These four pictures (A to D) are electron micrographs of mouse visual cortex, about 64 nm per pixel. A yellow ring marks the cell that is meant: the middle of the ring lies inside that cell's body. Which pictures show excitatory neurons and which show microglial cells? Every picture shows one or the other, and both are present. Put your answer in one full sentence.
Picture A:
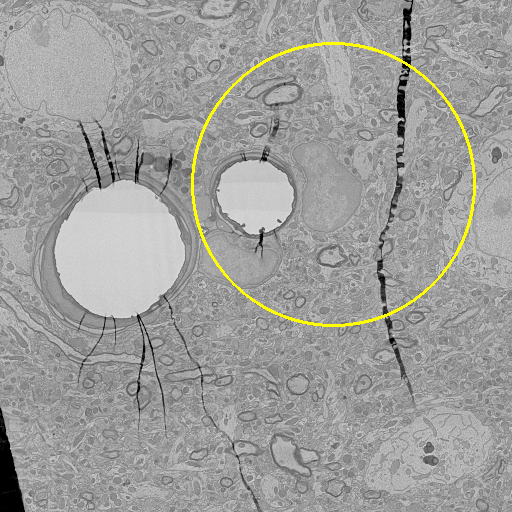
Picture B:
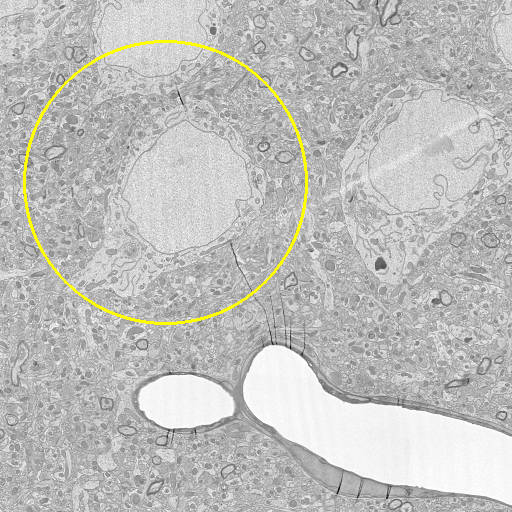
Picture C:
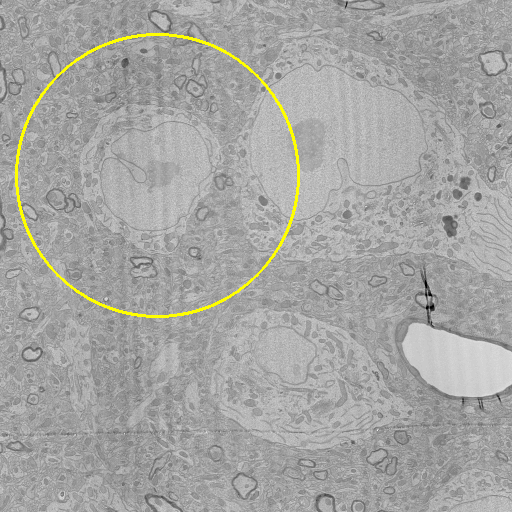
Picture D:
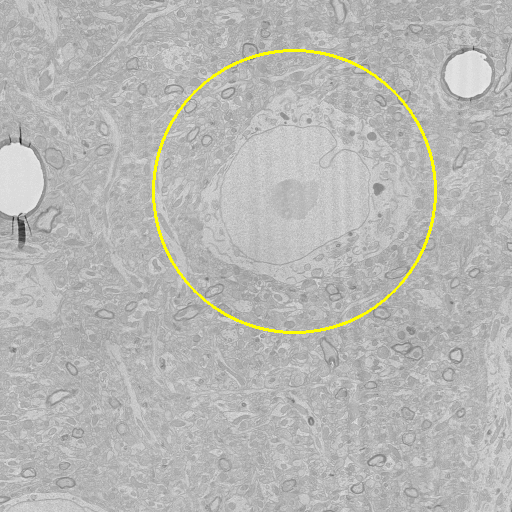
Pictures B, C and D show excitatory neurons; picture A shows a microglial cell.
